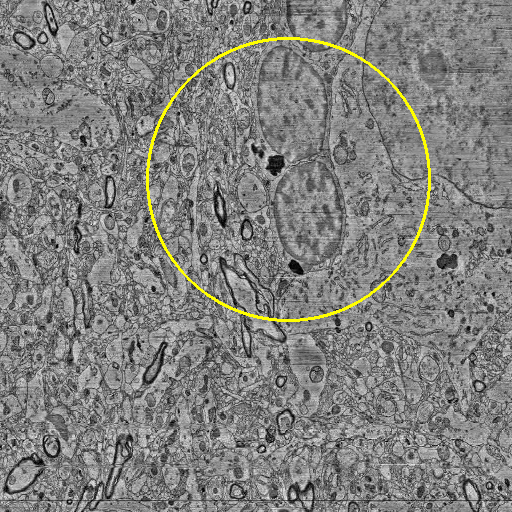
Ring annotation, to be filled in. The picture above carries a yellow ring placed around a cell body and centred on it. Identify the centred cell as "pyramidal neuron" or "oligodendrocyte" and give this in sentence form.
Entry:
The cell in the middle of the ring is an oligodendrocyte.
